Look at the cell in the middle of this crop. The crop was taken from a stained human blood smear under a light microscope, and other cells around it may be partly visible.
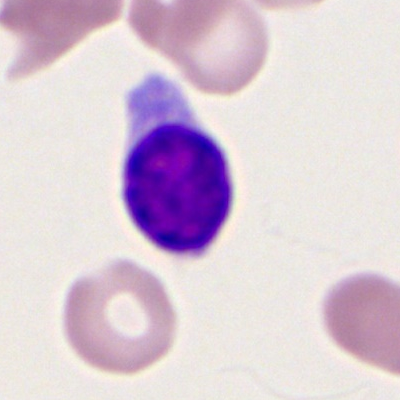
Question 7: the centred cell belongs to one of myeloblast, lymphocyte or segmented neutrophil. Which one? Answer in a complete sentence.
Whatever else lies nearby, the middle cell is a lymphocyte.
